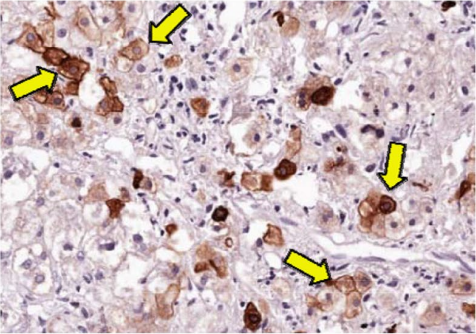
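Liver parenchyma with scattered hepatocytes showing brown staining of membranes and cytoplasm, several indicated by yellow arrows. The stained cells are large and polygonal with round central nuclei; staining ranges from faint tan to dark brown and sharply outlines cell borders. Many surrounding hepatocytes are unstained with pale, clear or finely vacuolated cytoplasm. Between the cell groups lies loose stroma containing many small spindle-shaped and round blue nuclei, consistent with fibrosis and inflammatory cells. A thin elongated vessel-like space crosses the lower right. Few large fat vacuoles are seen in this field.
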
